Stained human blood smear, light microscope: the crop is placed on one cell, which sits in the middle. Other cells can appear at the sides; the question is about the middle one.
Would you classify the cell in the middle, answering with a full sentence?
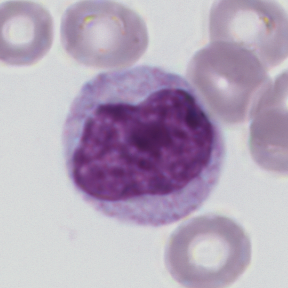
As for the central cell, it is a myelocyte.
